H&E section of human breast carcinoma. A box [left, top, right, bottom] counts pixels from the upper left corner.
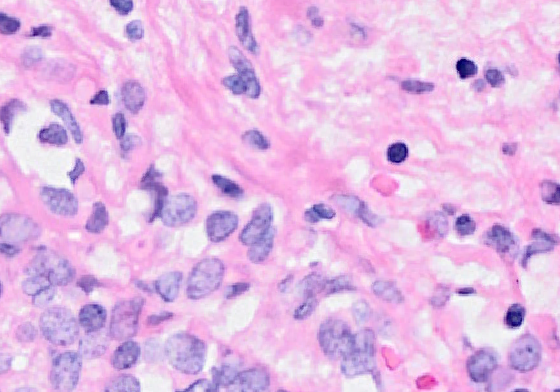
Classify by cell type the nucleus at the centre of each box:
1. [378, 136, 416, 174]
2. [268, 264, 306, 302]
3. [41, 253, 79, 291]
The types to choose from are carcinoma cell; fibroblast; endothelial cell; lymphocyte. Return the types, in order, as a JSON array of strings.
["lymphocyte", "endothelial cell", "carcinoma cell"]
